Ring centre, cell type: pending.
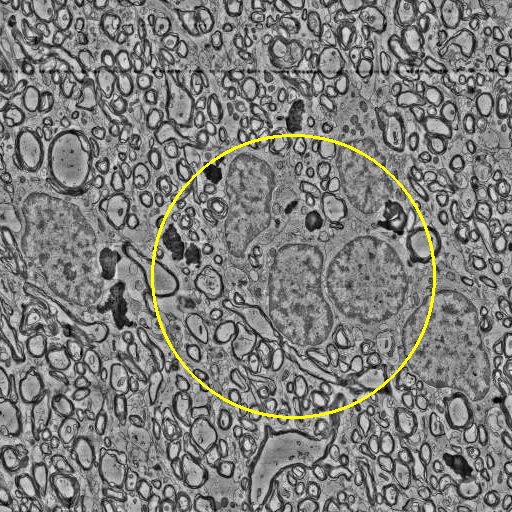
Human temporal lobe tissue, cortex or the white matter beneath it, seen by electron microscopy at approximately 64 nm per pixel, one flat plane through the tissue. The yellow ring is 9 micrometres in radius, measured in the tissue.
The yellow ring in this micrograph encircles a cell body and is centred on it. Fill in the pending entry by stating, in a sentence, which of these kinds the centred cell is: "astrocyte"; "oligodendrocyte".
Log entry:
The centred cell is recorded as an oligodendrocyte.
